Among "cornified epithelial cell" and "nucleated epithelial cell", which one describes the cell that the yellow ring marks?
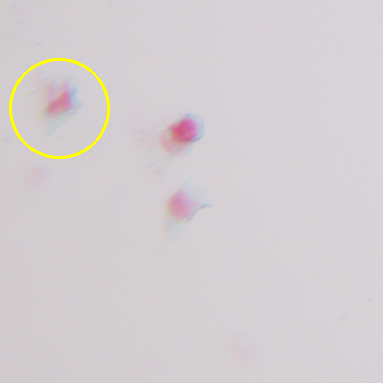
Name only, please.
nucleated epithelial cell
